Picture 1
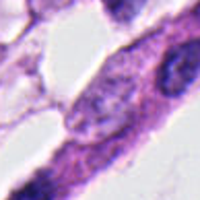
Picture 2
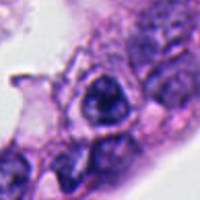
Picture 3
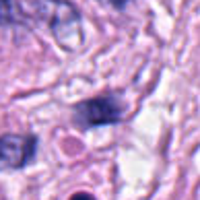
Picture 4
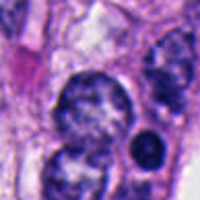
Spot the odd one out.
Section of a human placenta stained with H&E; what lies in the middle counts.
Picture 3 (a vascular myocyte among cytotrophoblasts).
